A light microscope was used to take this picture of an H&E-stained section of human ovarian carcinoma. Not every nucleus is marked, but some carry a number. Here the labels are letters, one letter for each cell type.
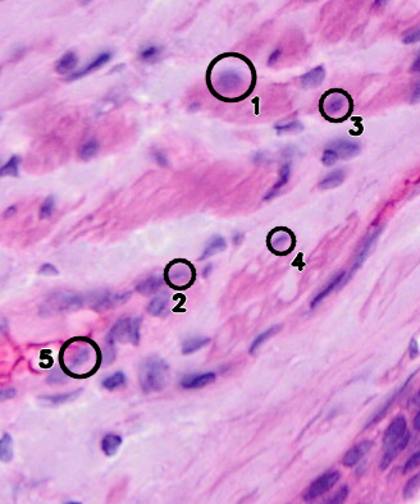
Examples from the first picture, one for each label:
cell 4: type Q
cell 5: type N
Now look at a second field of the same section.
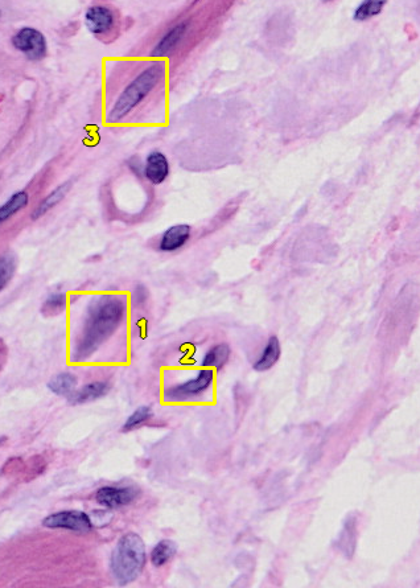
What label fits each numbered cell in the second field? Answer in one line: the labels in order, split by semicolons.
type N; type N; type Q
